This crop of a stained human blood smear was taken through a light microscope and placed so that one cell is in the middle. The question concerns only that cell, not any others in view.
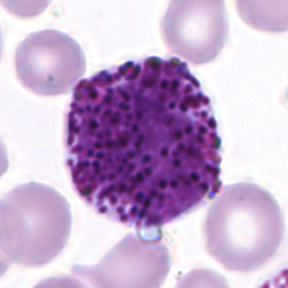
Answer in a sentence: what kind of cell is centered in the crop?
The centrally located cell in the crop is a basophil.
